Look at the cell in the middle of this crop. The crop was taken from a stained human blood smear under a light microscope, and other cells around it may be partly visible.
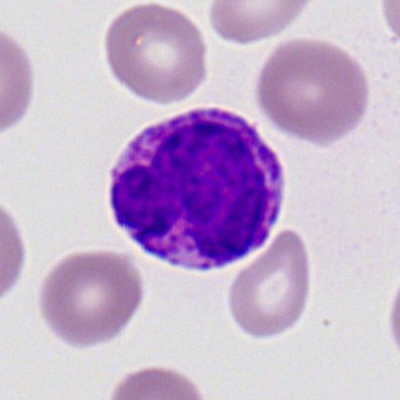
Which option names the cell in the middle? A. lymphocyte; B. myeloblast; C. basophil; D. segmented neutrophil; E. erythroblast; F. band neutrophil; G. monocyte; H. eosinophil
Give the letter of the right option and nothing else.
C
